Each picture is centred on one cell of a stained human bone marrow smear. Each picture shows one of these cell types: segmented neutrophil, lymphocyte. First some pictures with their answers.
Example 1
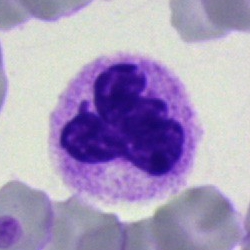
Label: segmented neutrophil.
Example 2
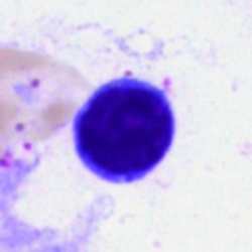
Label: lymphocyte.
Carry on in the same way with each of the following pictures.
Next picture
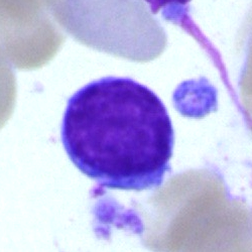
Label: lymphocyte.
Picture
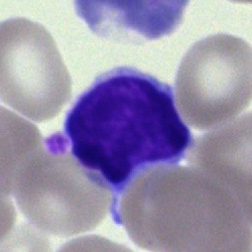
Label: lymphocyte.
